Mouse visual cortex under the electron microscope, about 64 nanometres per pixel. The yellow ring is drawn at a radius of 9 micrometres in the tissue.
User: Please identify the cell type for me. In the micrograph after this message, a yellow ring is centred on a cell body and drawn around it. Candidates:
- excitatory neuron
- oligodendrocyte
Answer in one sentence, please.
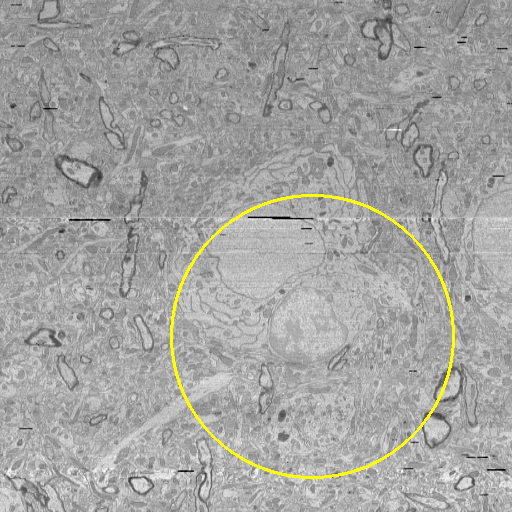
The ring is drawn around the cell body of an oligodendrocyte.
